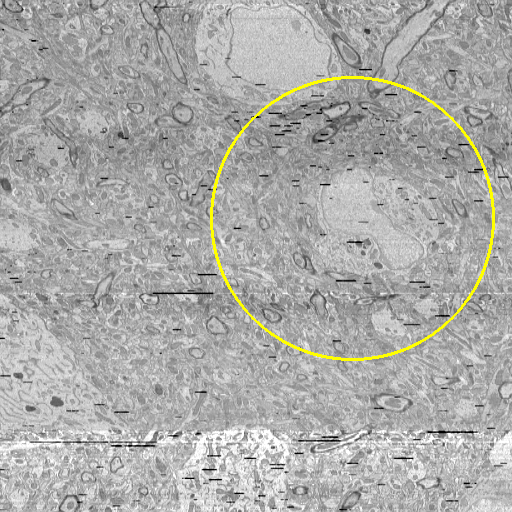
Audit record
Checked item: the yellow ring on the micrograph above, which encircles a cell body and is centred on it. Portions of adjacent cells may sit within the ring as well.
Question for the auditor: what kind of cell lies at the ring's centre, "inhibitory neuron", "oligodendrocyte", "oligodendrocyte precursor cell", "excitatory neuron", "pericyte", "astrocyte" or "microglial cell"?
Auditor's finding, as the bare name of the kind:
oligodendrocyte precursor cell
